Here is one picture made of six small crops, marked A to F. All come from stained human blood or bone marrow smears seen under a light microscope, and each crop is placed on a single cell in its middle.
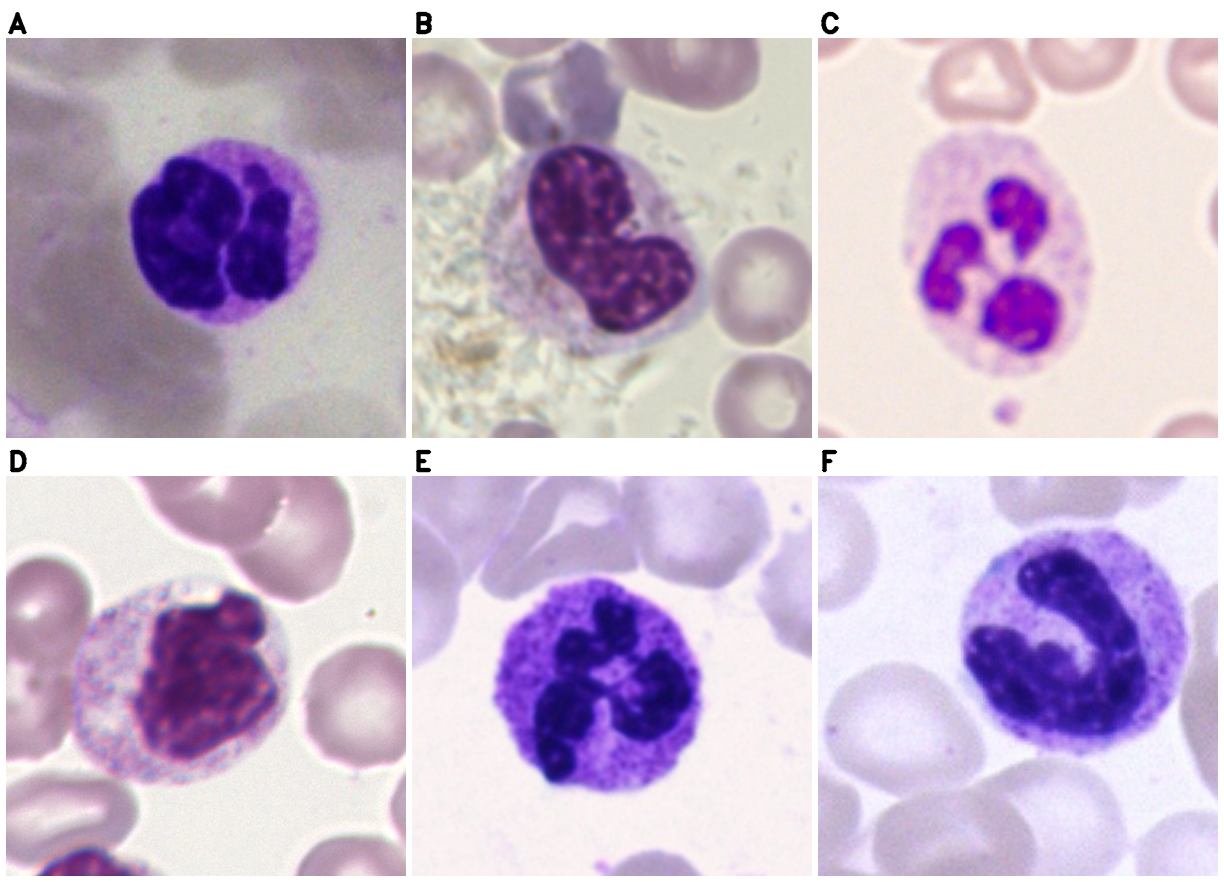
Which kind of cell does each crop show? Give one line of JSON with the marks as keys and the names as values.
{"A": "segmented neutrophil", "B": "band neutrophil", "C": "segmented neutrophil", "D": "segmented neutrophil", "E": "segmented neutrophil", "F": "segmented neutrophil"}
